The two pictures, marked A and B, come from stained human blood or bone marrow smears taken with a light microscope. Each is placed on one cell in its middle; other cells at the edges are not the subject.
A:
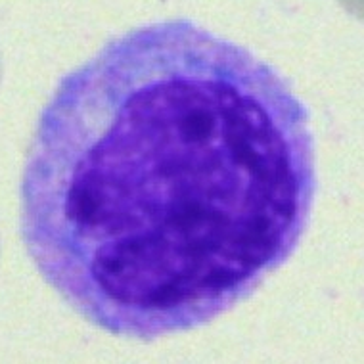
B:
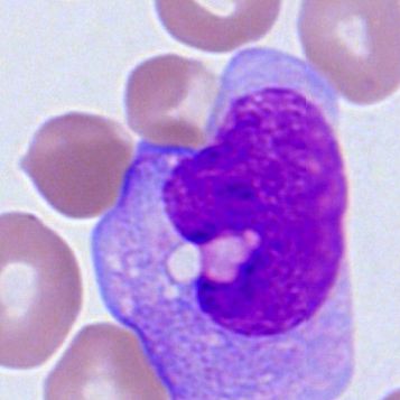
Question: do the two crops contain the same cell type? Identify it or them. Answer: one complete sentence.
Yes, it is monocytes that both crops show.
